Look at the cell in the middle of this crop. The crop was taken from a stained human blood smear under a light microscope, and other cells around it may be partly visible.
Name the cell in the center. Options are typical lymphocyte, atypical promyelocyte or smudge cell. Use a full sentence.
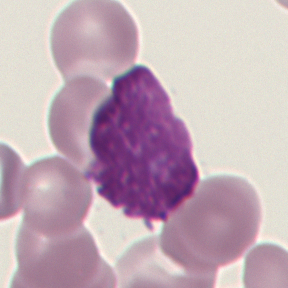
This crop has a smudge cell at its centre.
